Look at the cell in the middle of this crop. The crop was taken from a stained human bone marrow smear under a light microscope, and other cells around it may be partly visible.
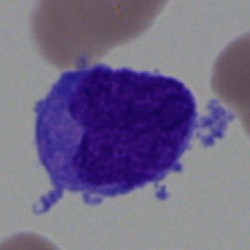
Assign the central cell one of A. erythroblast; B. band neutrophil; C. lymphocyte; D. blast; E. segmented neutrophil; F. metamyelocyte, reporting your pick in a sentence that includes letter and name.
For this crop, option D is right, the centered cell being a blast.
